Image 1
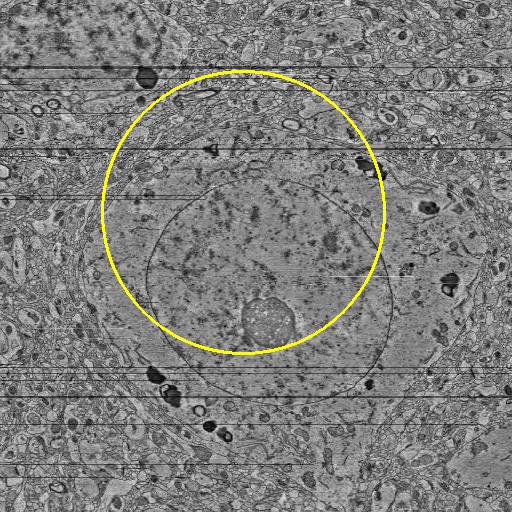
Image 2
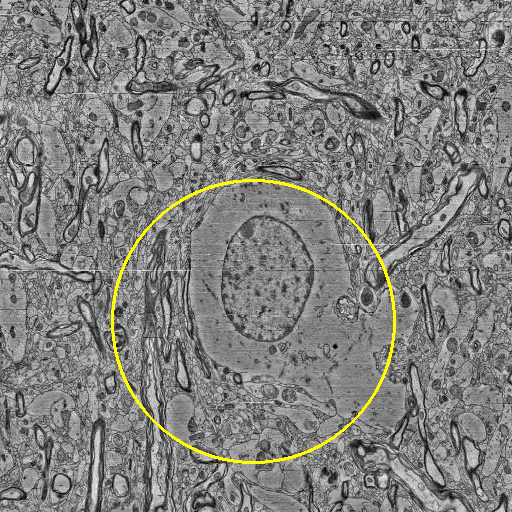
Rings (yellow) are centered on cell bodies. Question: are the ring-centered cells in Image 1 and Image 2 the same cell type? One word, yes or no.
no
